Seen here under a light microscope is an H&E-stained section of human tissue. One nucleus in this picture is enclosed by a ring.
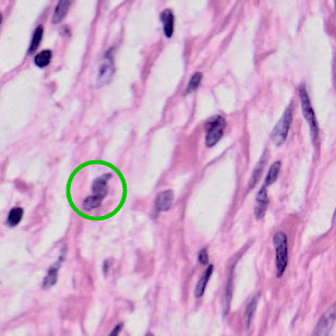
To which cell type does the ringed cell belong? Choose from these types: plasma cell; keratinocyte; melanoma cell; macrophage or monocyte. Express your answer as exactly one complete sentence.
On this particular slide, the ringed cell is a macrophage or monocyte.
